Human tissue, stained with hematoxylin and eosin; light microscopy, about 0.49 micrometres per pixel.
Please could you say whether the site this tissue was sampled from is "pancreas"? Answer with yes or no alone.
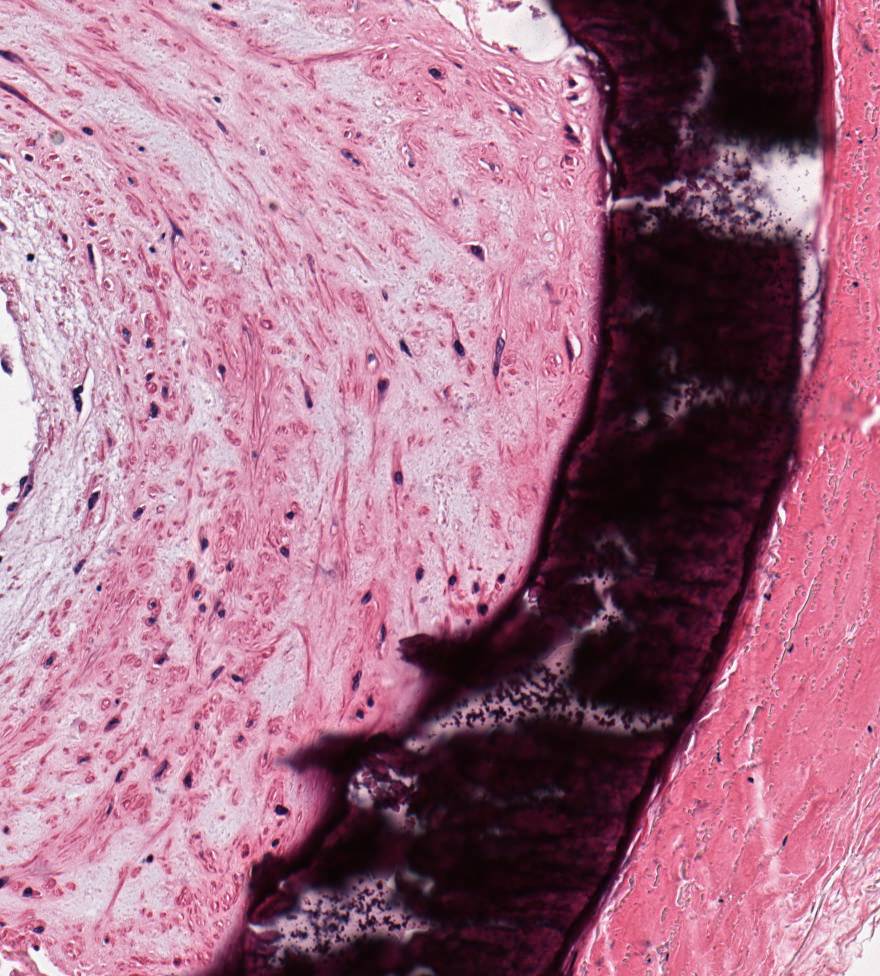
no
